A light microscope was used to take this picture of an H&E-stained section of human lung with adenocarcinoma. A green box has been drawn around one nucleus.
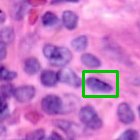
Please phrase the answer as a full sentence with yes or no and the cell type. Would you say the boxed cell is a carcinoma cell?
No, the boxed cell is not a carcinoma cell; a lymphocyte is what it is.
